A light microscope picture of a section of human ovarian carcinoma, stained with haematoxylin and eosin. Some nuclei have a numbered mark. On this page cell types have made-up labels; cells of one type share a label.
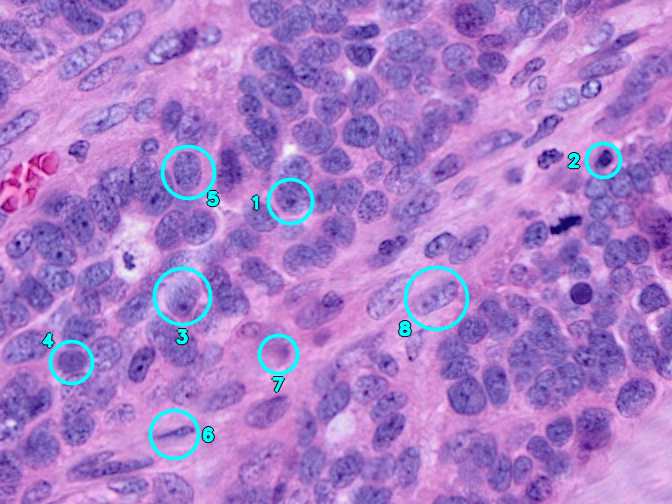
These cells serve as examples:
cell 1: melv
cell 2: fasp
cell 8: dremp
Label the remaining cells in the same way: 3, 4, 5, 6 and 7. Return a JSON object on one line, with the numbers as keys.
{"3": "melv", "4": "melv", "5": "melv", "6": "dremp", "7": "dremp"}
